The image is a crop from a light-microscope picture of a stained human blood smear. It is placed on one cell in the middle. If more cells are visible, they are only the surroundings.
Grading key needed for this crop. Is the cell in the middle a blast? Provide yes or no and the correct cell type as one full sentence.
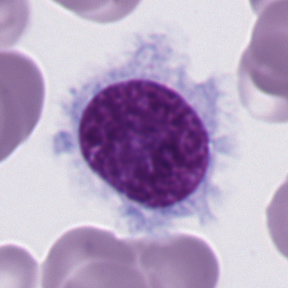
No, in the middle of the crop there is a hairy cell rather than a blast.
